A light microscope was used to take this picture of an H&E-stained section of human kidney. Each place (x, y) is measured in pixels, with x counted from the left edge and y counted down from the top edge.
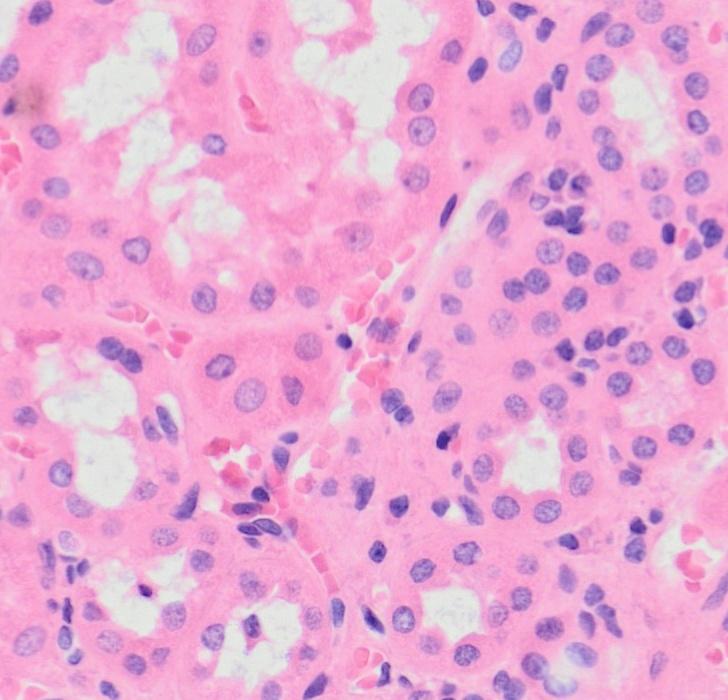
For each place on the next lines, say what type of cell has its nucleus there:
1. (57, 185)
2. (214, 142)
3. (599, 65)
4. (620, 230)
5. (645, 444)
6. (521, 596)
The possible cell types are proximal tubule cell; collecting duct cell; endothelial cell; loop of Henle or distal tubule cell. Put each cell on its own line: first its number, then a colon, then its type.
1: proximal tubule cell
2: proximal tubule cell
3: loop of Henle or distal tubule cell
4: loop of Henle or distal tubule cell
5: loop of Henle or distal tubule cell
6: loop of Henle or distal tubule cell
